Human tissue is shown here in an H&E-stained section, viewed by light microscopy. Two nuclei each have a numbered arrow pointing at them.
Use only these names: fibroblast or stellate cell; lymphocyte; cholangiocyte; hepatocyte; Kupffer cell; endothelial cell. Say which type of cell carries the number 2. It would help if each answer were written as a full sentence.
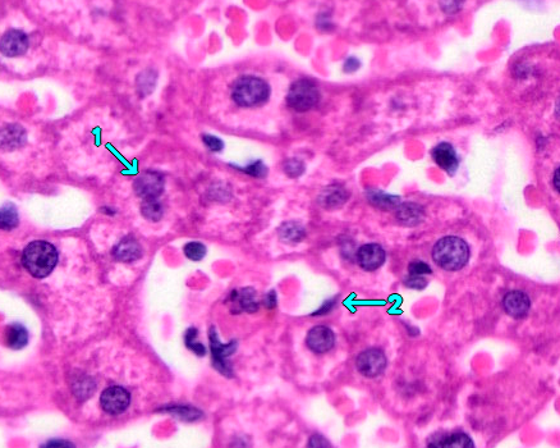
The cell identified by number 2 is an endothelial cell.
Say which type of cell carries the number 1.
The cell indicated by marker 1 is a hepatocyte in this section.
